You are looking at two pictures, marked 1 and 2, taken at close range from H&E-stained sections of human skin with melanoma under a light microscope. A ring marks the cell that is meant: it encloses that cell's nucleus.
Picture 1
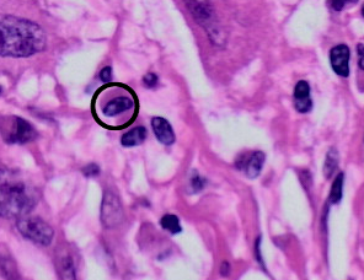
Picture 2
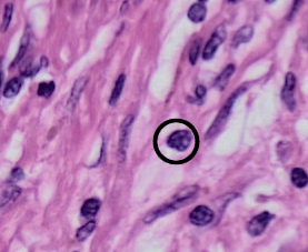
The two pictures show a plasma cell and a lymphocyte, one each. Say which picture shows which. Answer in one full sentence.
The cell in picture 1 is a plasma cell, and the one in picture 2 is a lymphocyte.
